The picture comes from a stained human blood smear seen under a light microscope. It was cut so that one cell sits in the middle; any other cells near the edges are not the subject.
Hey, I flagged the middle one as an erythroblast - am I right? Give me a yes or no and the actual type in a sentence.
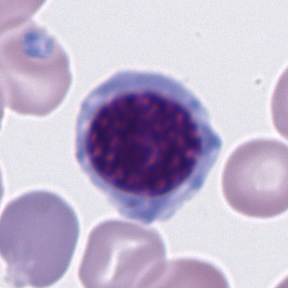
Yes, the cell sitting in the center is an erythroblast.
